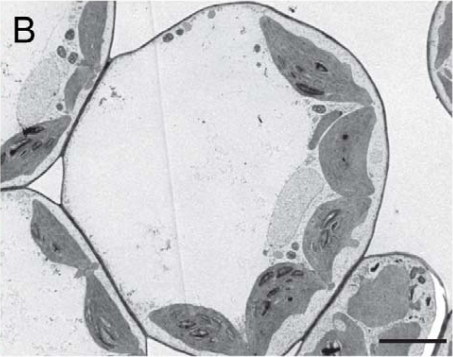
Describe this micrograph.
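A leaf mesophyll cell is shown in section, with its chloroplasts lining the periphery. The cell is large and rounded, bounded by a thin dark wall, and most of its volume is taken up by a pale central vacuole. A thin layer of cytoplasm lies along the wall, holding elongated, lens-shaped chloroplasts with dense, finely striated interiors and small pale or dark inclusions. Parts of neighbouring cells with similar peripheral chloroplasts appear at the edges, separated by intercellular spaces.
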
